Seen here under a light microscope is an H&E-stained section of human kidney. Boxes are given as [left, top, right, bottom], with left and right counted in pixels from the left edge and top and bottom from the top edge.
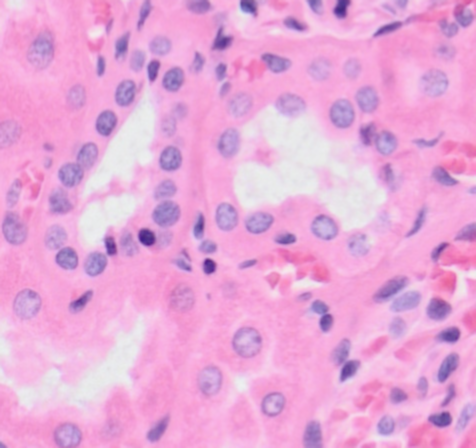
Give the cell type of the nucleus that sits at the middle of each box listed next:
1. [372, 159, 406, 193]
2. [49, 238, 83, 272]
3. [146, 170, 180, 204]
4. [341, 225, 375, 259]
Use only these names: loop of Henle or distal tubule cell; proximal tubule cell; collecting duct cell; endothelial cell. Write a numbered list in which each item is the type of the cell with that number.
1. loop of Henle or distal tubule cell
2. collecting duct cell
3. collecting duct cell
4. loop of Henle or distal tubule cell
